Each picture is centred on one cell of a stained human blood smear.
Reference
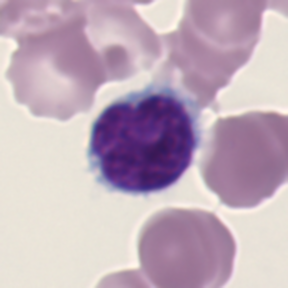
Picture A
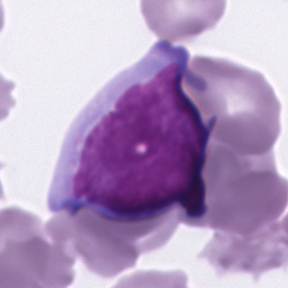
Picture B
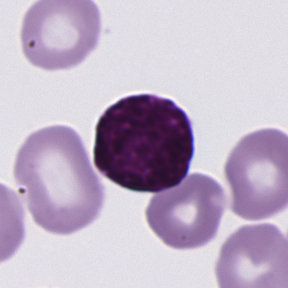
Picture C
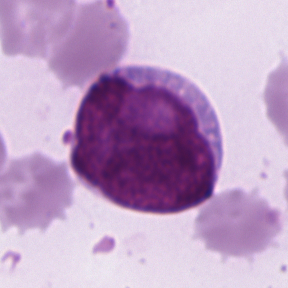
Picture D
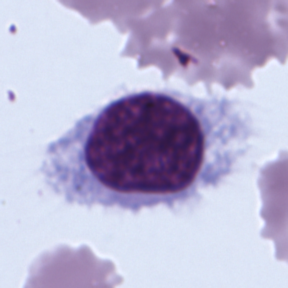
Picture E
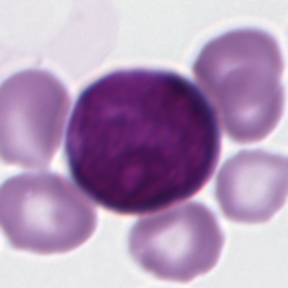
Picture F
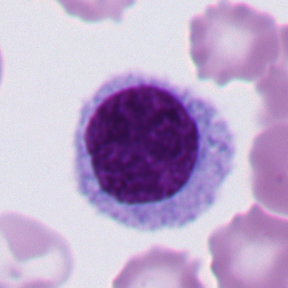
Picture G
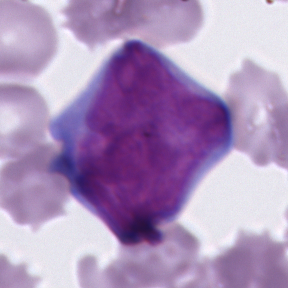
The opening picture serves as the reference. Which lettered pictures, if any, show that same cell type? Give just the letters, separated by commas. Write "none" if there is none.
D, F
